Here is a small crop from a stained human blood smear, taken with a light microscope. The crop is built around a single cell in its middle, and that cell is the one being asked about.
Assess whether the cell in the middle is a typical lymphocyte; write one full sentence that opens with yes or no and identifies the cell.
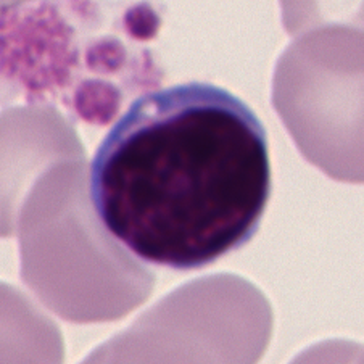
Yes, the cell found in the middle is a typical lymphocyte.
